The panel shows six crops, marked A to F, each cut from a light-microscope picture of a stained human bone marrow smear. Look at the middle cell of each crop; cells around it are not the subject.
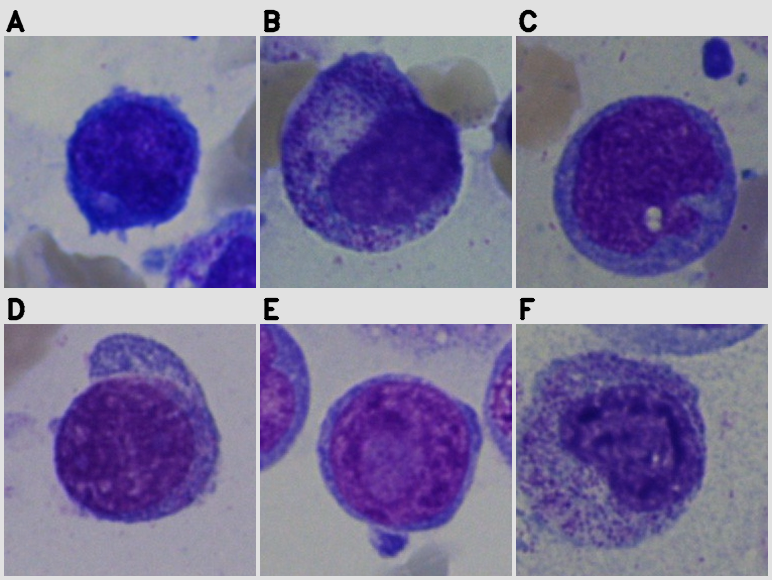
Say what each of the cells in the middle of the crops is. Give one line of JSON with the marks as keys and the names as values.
{"A": "blast", "B": "myelocyte", "C": "blast", "D": "blast", "E": "blast", "F": "myelocyte"}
